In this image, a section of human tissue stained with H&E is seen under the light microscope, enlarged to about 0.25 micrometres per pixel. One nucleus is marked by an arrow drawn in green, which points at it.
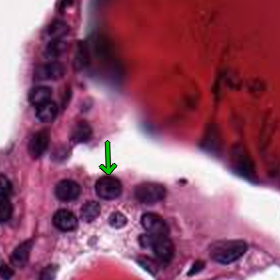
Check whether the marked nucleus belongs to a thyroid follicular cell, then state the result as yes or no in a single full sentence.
Yes, the marked nucleus belongs to a thyroid follicular cell in this image.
